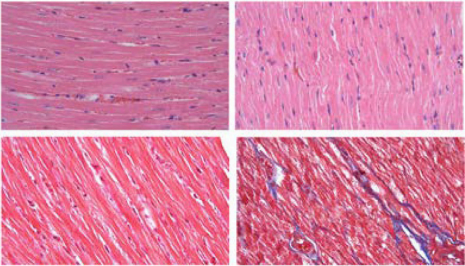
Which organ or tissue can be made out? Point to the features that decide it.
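Long, parallel, branching muscle fibres. Elongated nuclei lie within the fibres. The answer: myocardium.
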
